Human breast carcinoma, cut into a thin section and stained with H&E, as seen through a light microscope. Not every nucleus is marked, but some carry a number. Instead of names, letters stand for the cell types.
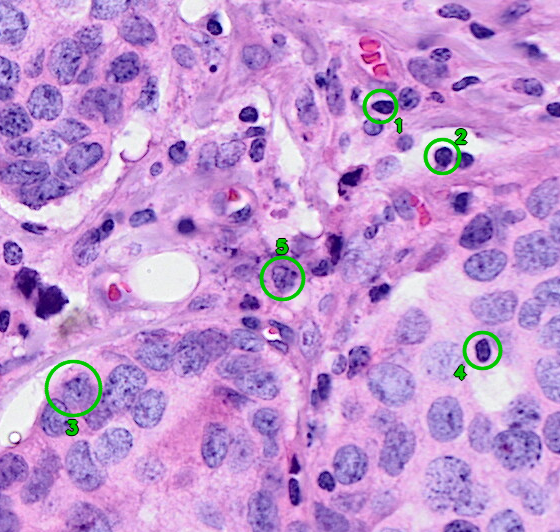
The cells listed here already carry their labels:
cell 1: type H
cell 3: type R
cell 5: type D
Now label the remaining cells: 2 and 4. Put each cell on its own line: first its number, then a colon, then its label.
2: type H
4: type H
